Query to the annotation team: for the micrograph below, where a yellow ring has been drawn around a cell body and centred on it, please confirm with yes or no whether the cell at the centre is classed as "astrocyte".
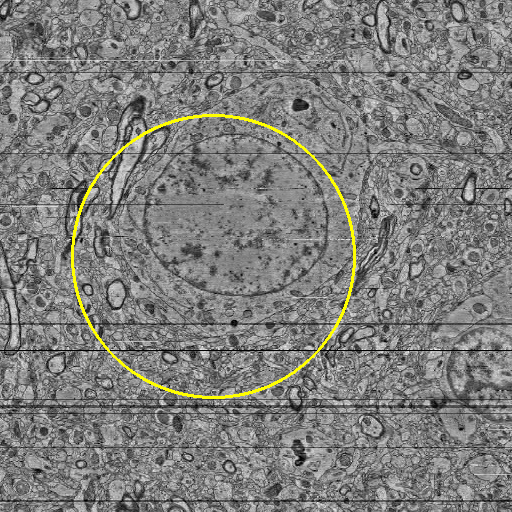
No, it belongs to another class.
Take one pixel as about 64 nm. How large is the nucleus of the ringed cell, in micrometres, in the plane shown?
The nucleus comes to roughly 11 micrometres across in this plane.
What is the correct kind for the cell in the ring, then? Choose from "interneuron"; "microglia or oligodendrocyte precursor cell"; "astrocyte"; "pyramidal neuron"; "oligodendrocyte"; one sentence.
Instead, the picture shows a pyramidal neuron at the centre of the ring.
